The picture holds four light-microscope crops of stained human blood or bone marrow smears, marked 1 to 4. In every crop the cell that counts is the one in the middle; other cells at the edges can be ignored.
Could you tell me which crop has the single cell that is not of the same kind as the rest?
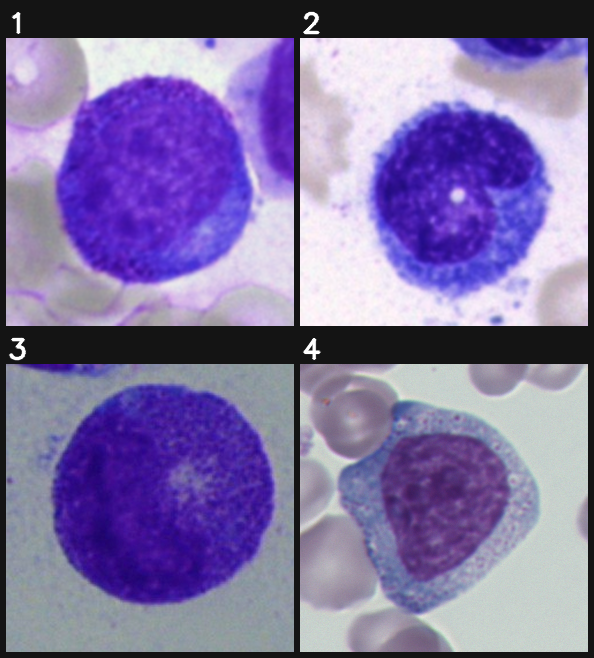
2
